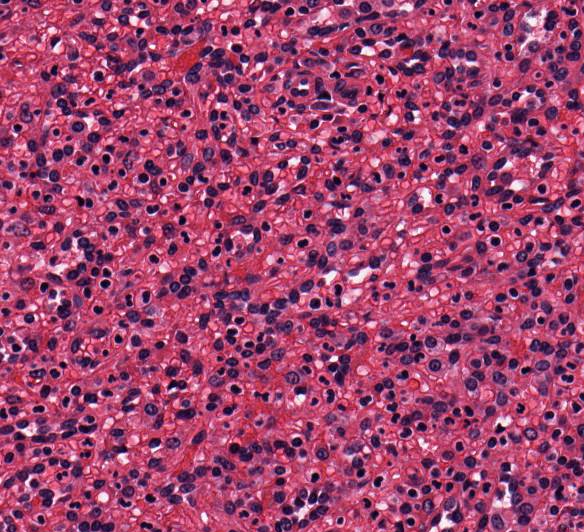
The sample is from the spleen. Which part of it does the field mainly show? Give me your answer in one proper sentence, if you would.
The part in view in this section is red pulp.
